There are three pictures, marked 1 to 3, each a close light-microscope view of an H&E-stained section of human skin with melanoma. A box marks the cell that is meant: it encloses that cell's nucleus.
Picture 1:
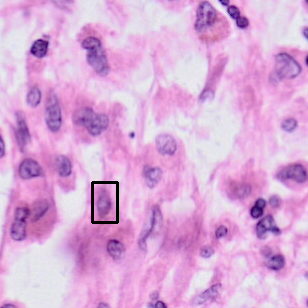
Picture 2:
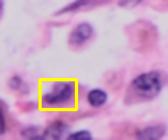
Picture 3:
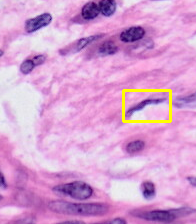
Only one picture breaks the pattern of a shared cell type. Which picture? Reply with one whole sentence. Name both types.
All pictures except 3 show “macrophages or monocytes”; picture 3 shows a “fibroblast or myofibroblast”.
